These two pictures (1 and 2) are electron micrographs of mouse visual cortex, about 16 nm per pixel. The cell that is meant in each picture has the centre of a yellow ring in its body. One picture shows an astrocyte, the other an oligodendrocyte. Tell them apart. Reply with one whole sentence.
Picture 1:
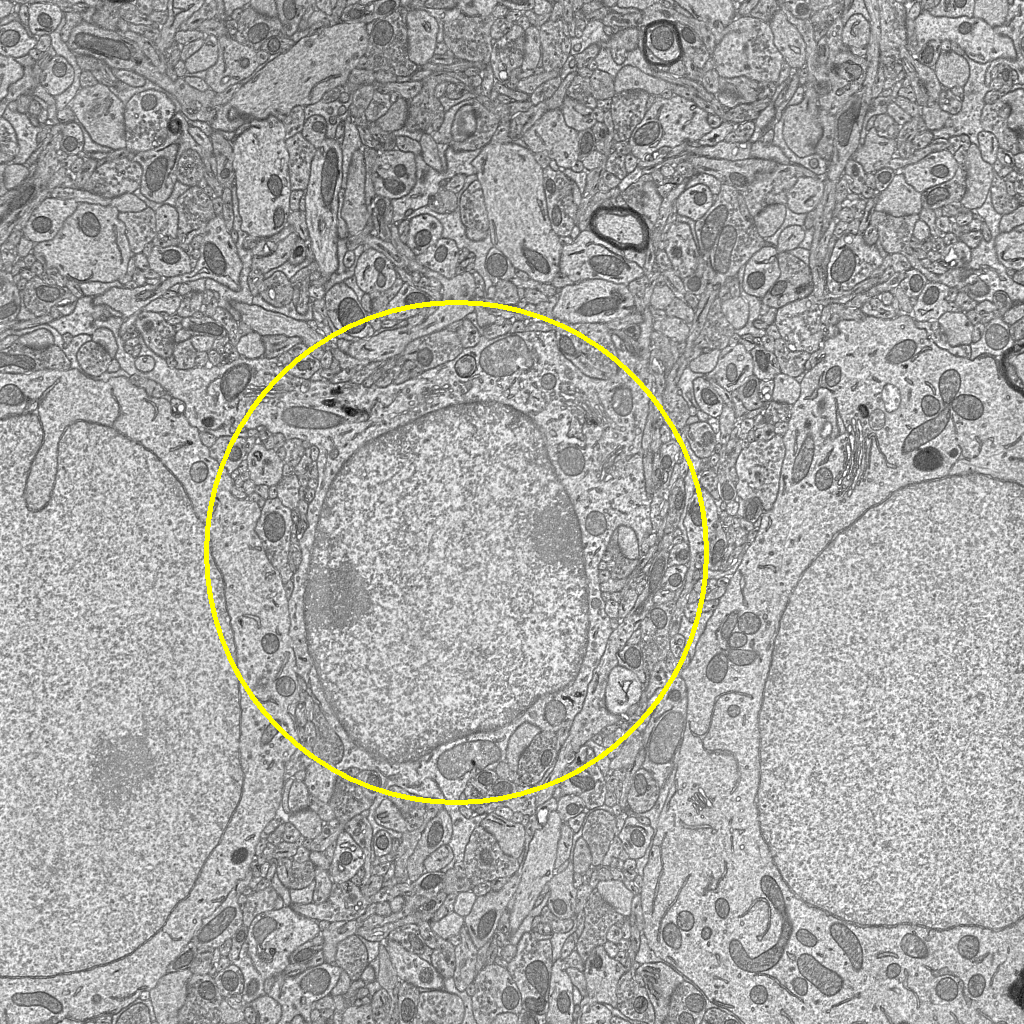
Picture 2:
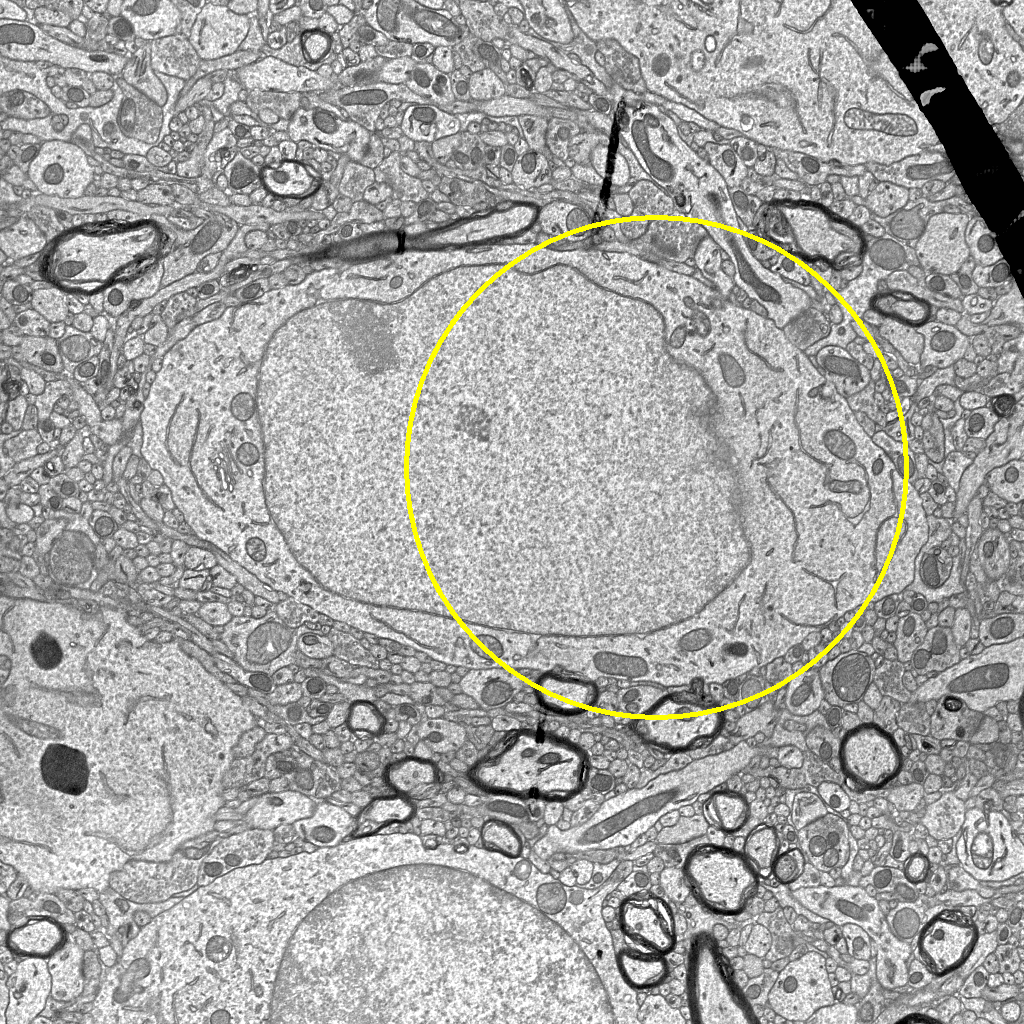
Picture 1 shows an astrocyte and picture 2 shows an oligodendrocyte.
